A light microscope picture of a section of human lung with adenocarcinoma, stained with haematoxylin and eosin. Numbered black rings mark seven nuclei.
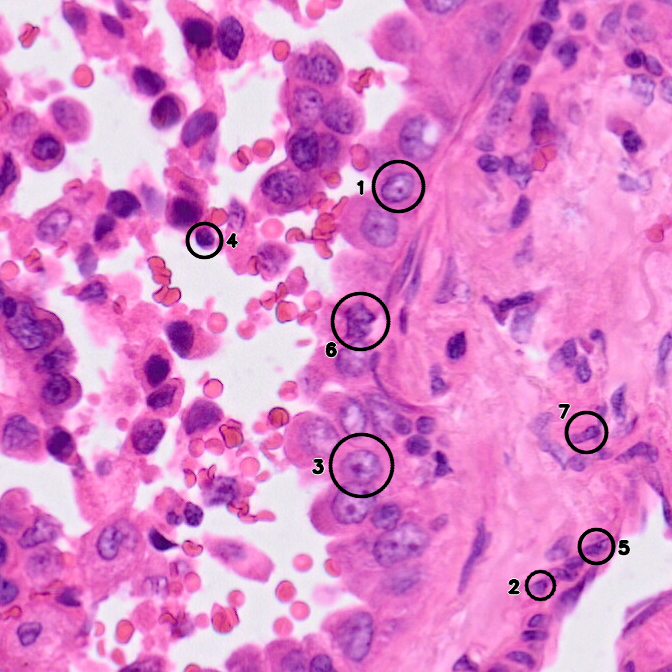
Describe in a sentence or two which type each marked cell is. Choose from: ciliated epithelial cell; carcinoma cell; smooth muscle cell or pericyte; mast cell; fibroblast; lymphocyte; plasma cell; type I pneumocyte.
Cell 1 is a carcinoma cell, cell 2 is a smooth muscle cell or pericyte, cell 3 is a carcinoma cell, cell 4 is a lymphocyte, cell 5 is a smooth muscle cell or pericyte, cell 6 is a carcinoma cell and cell 7 is a smooth muscle cell or pericyte.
